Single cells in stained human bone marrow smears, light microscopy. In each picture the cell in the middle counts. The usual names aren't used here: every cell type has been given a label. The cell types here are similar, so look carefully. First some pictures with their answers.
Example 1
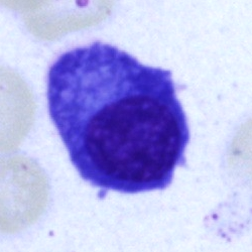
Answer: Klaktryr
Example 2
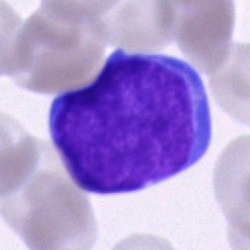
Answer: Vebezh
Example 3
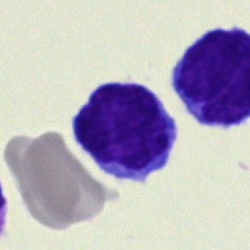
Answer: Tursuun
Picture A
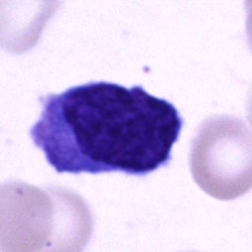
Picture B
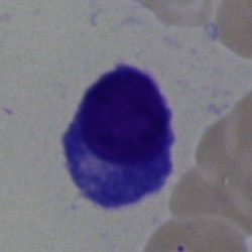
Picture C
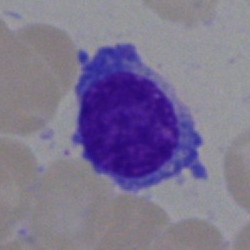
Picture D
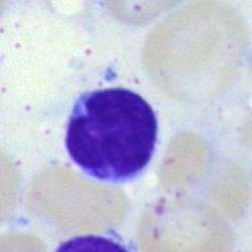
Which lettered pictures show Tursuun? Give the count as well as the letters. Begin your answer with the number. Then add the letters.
1: D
